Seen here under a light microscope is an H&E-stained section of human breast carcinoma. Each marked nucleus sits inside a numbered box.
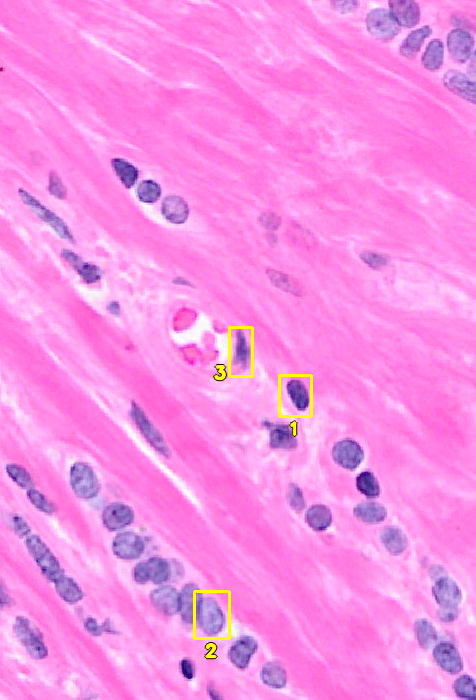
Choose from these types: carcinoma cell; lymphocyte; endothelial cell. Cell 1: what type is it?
lymphocyte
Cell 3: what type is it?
endothelial cell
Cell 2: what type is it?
carcinoma cell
